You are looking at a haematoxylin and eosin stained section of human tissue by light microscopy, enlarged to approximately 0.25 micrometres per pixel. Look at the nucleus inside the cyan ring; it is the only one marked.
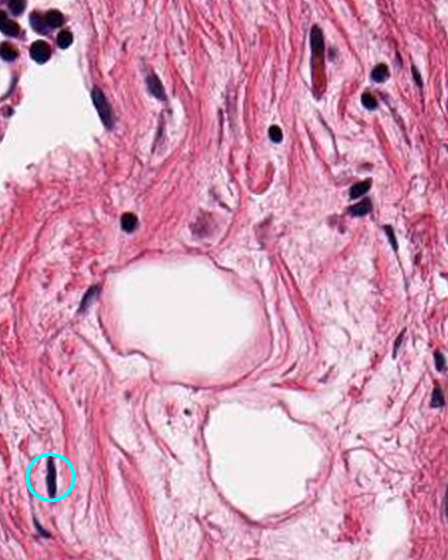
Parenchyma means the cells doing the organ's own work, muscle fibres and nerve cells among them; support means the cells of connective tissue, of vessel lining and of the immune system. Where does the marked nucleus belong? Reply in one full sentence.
The marked nucleus is part of a supporting cell.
